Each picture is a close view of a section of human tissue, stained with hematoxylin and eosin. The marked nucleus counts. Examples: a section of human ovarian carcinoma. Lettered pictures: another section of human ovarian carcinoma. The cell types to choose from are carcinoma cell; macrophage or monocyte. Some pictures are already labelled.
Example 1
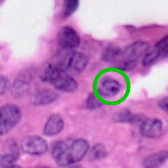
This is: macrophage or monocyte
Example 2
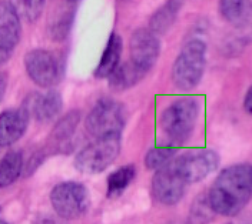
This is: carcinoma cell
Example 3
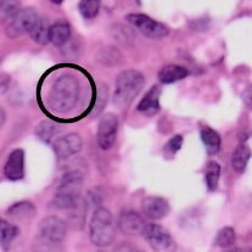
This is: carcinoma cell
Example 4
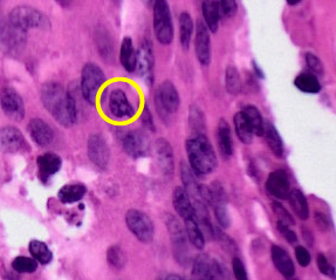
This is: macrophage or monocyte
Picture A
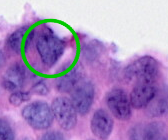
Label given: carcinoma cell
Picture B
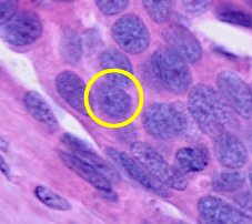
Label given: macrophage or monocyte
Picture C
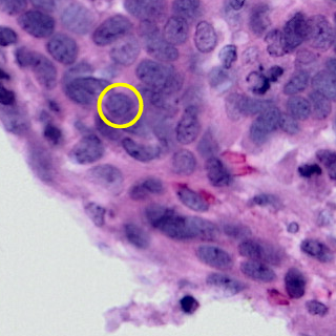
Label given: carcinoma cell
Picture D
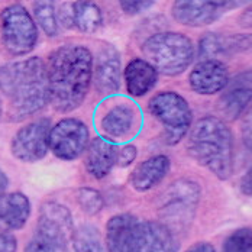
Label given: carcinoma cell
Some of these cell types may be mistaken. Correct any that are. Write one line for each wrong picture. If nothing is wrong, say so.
B: carcinoma cell, not macrophage or monocyte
